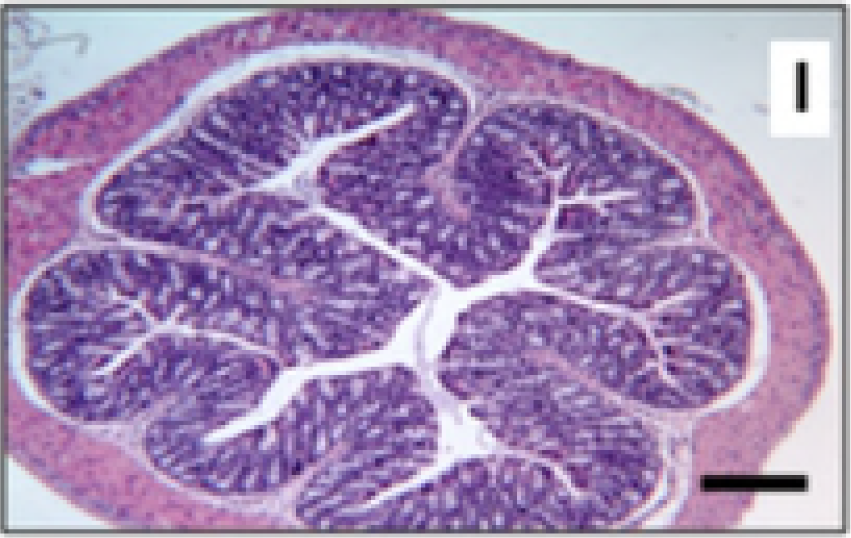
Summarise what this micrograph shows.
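The mucosa is packed with closely set, straight tubular crypts that run perpendicular to the surface and stain densely purple from their many nuclei. A thin, pale submucosa lies directly beneath the mucosa, and outside it a continuous pink band of smooth muscle forms the outer wall.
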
